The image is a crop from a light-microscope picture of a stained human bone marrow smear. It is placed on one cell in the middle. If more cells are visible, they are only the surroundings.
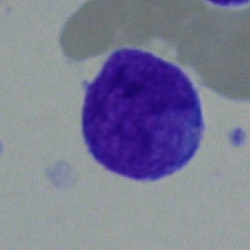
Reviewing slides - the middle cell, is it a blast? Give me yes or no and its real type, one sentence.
Yes, the centred cell is categorised as a blast.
